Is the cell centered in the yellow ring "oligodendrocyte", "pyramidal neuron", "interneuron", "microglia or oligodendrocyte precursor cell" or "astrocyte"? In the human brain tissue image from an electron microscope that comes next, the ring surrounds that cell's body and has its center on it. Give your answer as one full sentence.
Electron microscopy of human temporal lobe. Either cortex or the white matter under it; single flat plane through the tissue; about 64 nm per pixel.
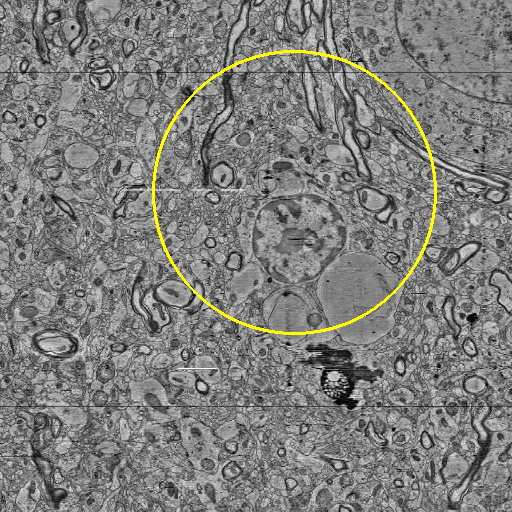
The cell at the center of the yellow ring is a microglial cell or oligodendrocyte precursor cell in the micrograph.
